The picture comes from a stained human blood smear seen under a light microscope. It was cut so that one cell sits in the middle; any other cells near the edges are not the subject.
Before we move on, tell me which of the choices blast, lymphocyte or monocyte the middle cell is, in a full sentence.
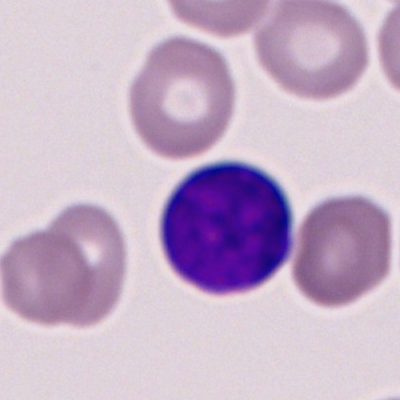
The cell the crop is centered on is a lymphocyte.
